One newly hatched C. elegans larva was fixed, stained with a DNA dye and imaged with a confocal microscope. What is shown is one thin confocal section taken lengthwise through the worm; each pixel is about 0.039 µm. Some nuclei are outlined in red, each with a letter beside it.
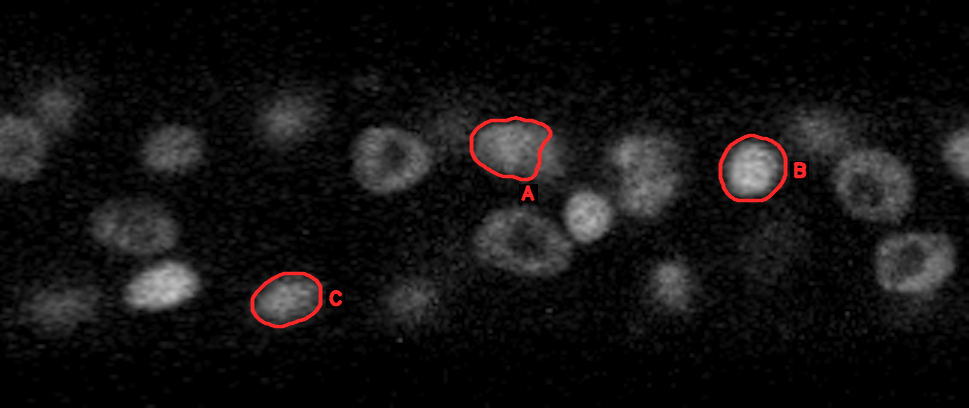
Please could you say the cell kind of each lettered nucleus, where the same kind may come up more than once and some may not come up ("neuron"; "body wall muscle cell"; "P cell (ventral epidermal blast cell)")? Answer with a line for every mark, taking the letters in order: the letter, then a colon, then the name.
A: P cell (ventral epidermal blast cell)
B: neuron
C: neuron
